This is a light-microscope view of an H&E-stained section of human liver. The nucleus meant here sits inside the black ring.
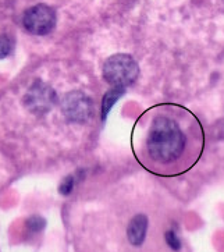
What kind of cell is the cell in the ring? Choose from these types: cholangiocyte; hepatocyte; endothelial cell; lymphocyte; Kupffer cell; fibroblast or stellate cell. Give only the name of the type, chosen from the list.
hepatocyte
